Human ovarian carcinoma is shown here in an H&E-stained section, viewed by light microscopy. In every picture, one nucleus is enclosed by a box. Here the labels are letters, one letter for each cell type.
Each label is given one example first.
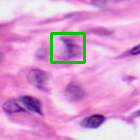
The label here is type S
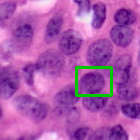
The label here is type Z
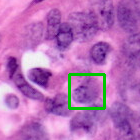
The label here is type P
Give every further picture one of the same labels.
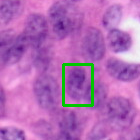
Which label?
type Z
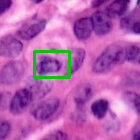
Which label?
type P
